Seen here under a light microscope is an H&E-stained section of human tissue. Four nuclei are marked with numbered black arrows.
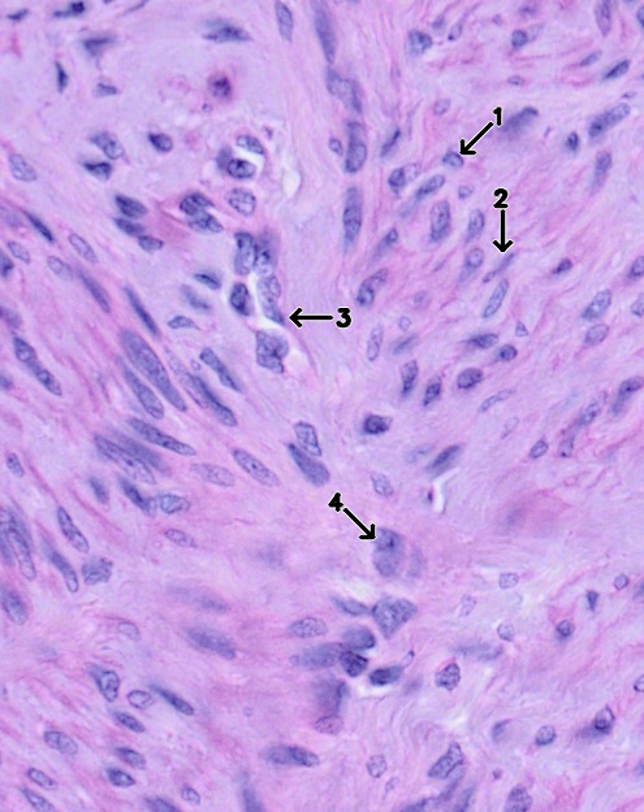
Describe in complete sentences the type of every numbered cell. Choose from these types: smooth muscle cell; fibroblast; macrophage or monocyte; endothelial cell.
Cells 1 and 2 are smooth muscle cells. Cell 3 is an endothelial cell. Cell 4 is a fibroblast.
